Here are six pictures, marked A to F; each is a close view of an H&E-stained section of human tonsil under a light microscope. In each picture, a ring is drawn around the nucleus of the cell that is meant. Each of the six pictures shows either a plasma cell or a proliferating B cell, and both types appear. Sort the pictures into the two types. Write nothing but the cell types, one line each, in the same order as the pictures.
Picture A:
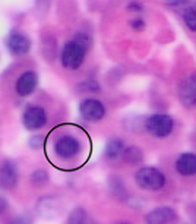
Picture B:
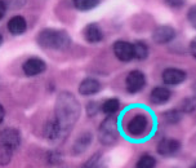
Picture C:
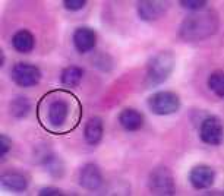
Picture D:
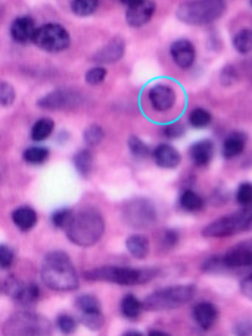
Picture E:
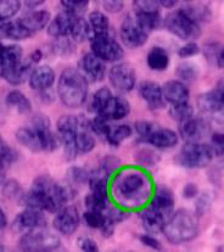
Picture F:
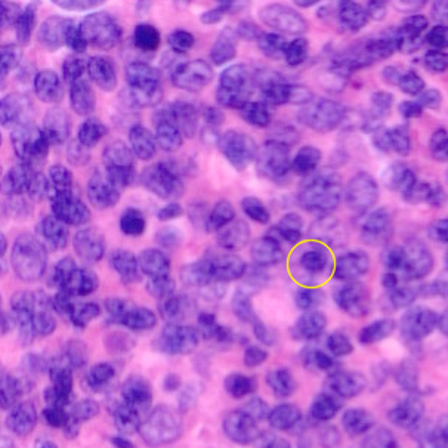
plasma cell
plasma cell
plasma cell
plasma cell
proliferating B cell
proliferating B cell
